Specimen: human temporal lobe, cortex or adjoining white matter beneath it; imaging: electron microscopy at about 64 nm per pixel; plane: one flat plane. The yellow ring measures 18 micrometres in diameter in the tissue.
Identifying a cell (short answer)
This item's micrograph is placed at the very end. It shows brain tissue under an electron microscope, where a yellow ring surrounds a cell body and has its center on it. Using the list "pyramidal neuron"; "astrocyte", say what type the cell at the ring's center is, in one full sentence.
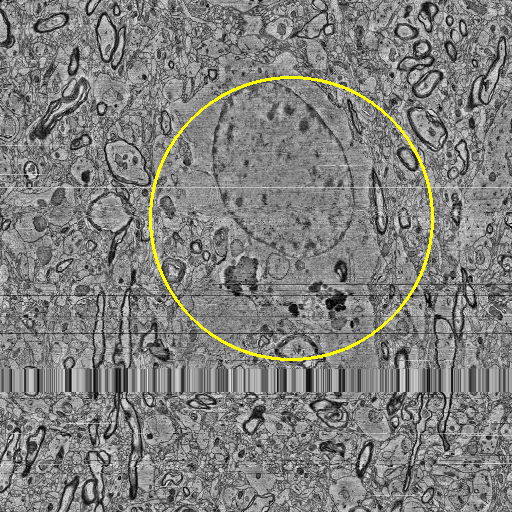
This picture shows an astrocyte at the center of the yellow ring drawn on it.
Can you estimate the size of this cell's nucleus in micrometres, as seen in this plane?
The nucleus appears roughly 12 by 8 micrometres in this plane.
